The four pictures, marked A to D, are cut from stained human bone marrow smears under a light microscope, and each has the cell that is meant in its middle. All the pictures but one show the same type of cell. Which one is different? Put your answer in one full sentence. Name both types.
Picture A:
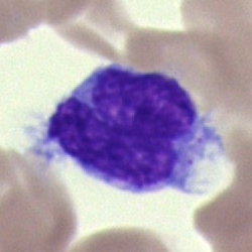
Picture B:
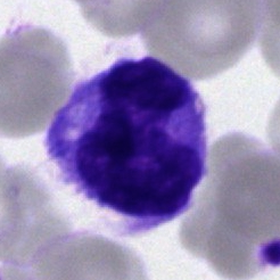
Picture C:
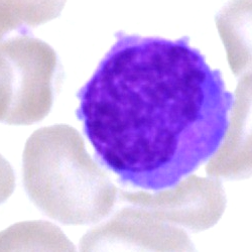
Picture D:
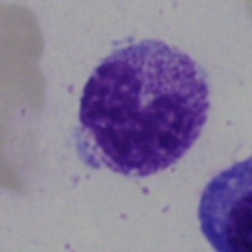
Unlike the rest, which show monocytes, picture D shows a metamyelocyte.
